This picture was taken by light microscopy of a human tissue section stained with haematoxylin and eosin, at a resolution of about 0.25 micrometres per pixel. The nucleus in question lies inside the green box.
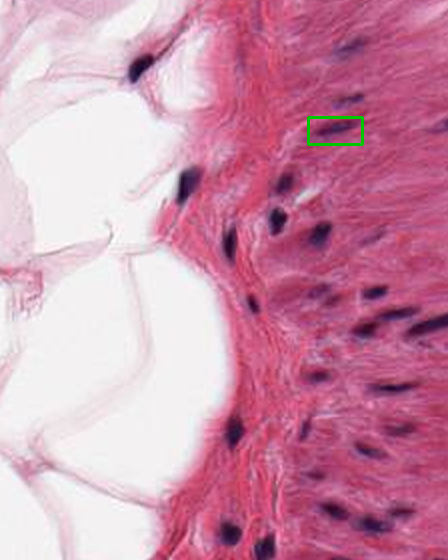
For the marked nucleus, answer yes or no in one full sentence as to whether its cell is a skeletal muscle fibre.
No, a skeletal muscle fibre is not the owner of the marked nucleus.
